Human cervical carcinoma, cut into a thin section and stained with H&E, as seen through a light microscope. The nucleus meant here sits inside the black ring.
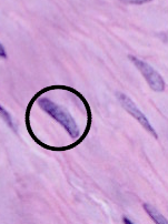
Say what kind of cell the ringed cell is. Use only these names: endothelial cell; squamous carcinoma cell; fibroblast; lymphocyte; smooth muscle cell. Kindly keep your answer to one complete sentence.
As to its cell type, the ringed cell is a fibroblast.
